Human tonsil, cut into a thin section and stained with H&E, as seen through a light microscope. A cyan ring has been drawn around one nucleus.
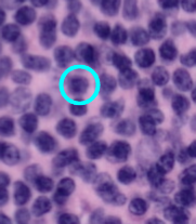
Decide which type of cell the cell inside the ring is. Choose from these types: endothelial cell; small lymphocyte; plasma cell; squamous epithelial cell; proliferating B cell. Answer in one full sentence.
What the cell inside the ring represents is a small lymphocyte.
